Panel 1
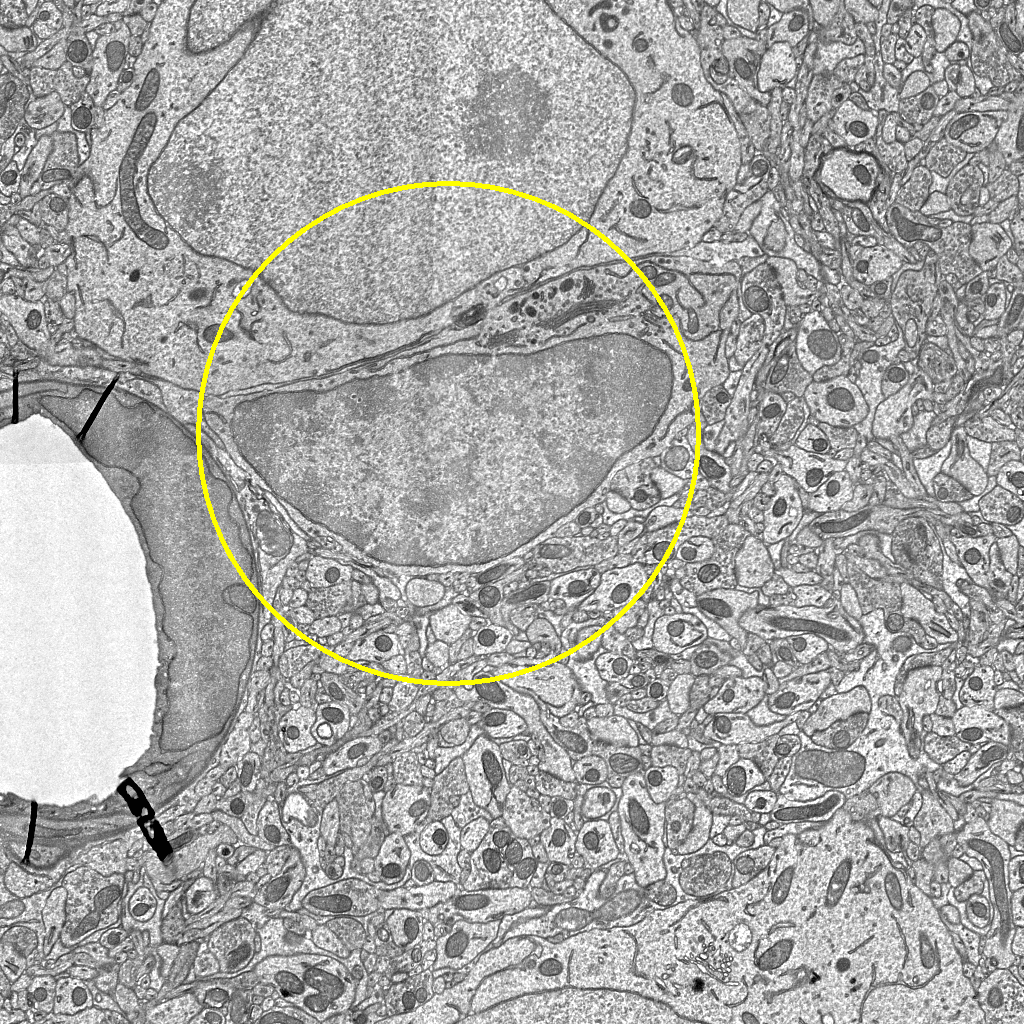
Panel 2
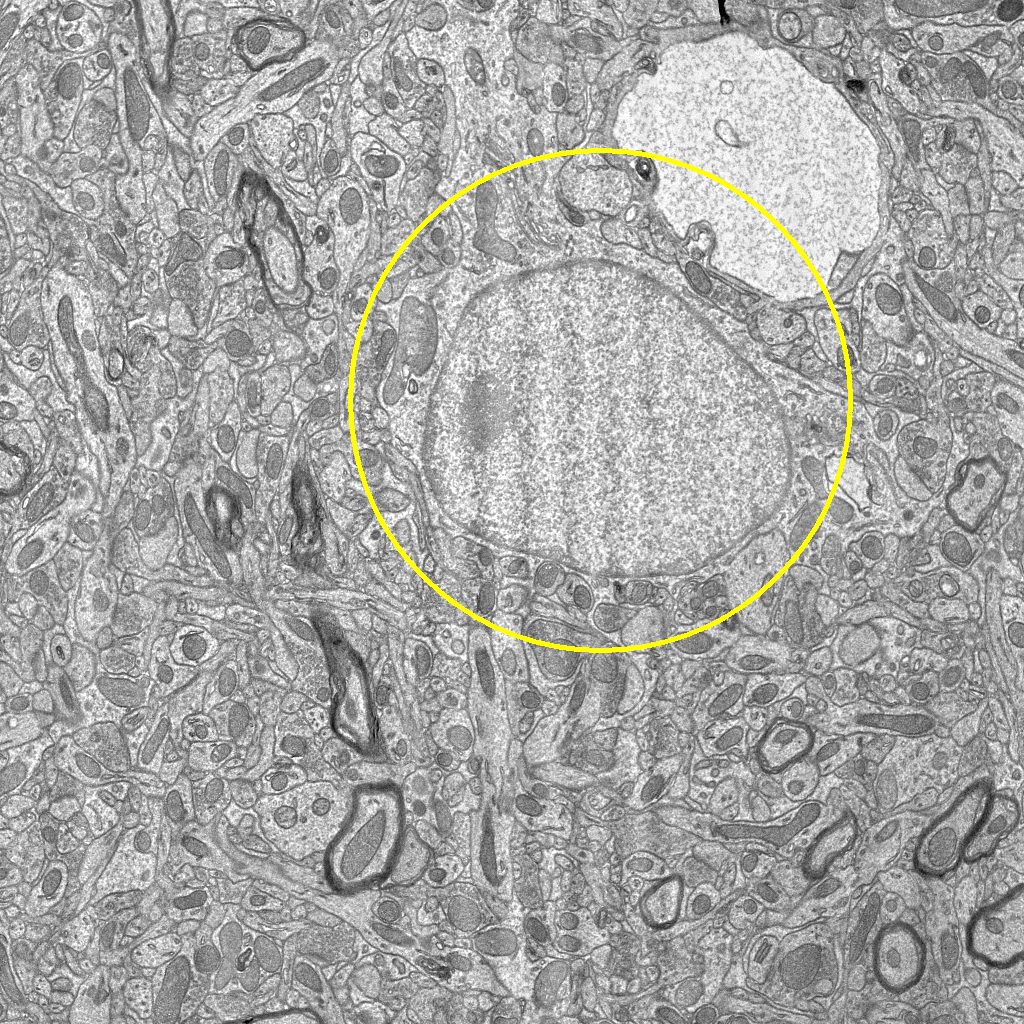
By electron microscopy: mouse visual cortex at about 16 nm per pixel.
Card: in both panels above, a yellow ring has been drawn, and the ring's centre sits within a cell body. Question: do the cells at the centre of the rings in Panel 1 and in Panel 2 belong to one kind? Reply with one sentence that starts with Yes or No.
No, the cells at the ring centres of Panel 1 and Panel 2 are two kinds of cell.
